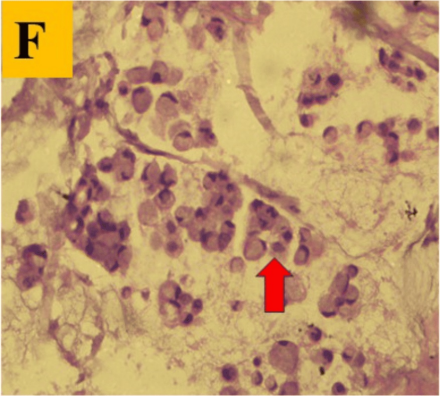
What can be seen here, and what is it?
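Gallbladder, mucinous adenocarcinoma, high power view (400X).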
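Tumour cells float singly and in small clusters within pale, lacy extracellular mucin. The cells are rounded, with dark purple nuclei. Some have a clear vacuole in the cytoplasm that pushes the nucleus to the edge, giving the signet ring look, as at the arrow. Only a few thin strands of stroma cross the field.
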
